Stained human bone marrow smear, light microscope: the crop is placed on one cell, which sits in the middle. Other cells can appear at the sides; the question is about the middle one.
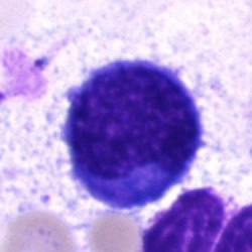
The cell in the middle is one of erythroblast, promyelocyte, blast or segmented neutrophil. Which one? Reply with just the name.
blast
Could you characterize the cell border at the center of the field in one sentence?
Because its outline is ragged or drawn out into projections, the cell lacks a smooth border.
